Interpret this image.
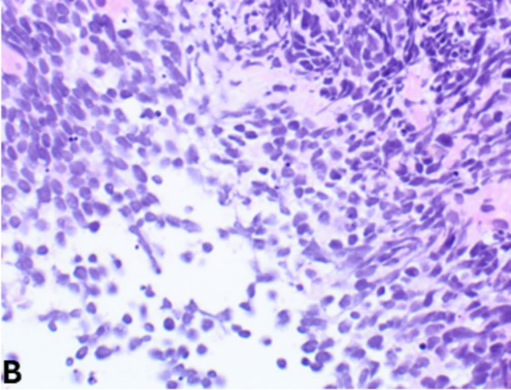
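Small tumor cells of a small cell neuroendocrine carcinoma lie crowded in sheets and loosely dispersed at the edge of the fragment. The nuclei are oval to elongated, dark purple and evenly hyperchromatic, without visible nucleoli. Cytoplasm is so scant that the nuclei seem almost bare and press against one another, some fitting into each other's contours. Some nuclei are drawn out and spindle-like, streaming in one direction. Between the cell groups lie a few pale pink strands of stroma. Cells at the loose margin have fallen apart singly, showing the same small dark nuclei.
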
